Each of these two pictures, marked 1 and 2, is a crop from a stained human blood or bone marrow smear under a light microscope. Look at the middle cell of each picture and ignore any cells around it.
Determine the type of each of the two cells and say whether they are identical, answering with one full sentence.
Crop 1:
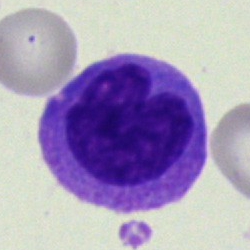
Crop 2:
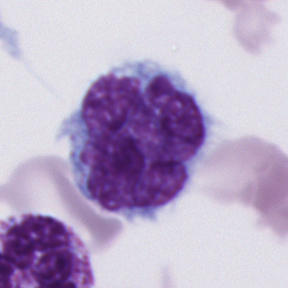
Yes, both of the crops show monocytes.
